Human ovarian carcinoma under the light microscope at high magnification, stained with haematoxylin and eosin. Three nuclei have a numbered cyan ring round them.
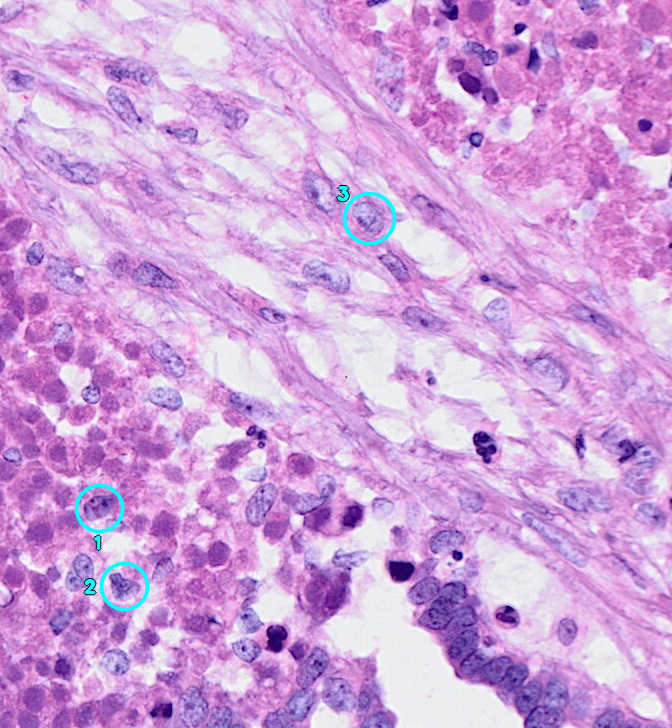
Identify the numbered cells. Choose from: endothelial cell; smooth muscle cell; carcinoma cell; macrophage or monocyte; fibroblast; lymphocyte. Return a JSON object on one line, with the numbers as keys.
{"1": "macrophage or monocyte", "2": "macrophage or monocyte", "3": "fibroblast"}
